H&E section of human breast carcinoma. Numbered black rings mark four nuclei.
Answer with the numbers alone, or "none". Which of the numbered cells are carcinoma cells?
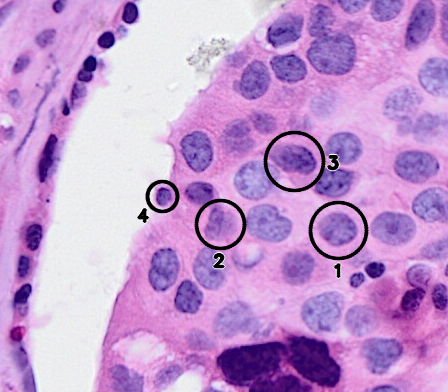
1, 2, 3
